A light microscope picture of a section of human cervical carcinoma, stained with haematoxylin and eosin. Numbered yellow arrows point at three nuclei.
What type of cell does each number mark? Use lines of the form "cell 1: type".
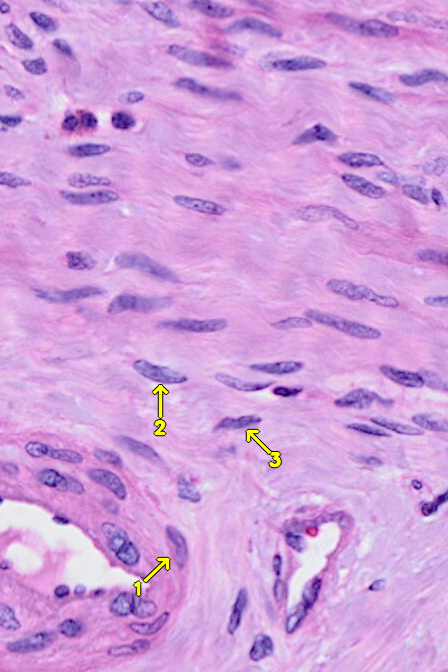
cell 1: smooth muscle cell
cell 2: fibroblast
cell 3: fibroblast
